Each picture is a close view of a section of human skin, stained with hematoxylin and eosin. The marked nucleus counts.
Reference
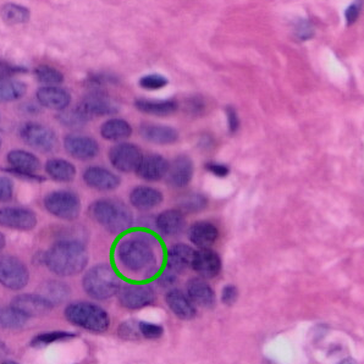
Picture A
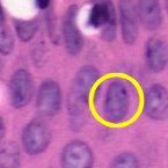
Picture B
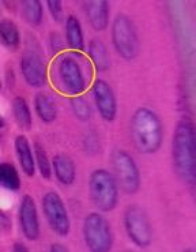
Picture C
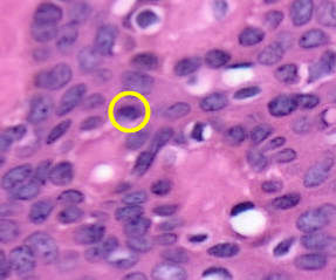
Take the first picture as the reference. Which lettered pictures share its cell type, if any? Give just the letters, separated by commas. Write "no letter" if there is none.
C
